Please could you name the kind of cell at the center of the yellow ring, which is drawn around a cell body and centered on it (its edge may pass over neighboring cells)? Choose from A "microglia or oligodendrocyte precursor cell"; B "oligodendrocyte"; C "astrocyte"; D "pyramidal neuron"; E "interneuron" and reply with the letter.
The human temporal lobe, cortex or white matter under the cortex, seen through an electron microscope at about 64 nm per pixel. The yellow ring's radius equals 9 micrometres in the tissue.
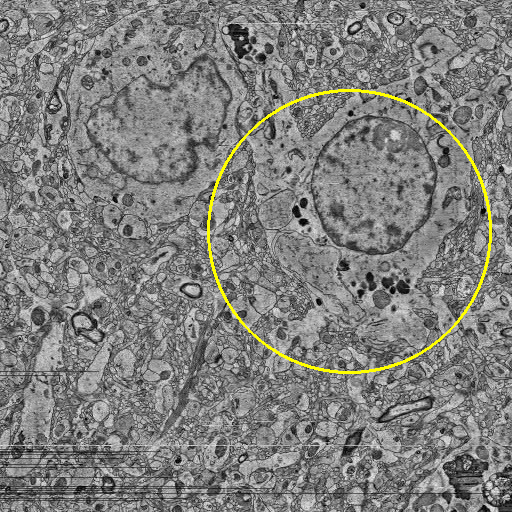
C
